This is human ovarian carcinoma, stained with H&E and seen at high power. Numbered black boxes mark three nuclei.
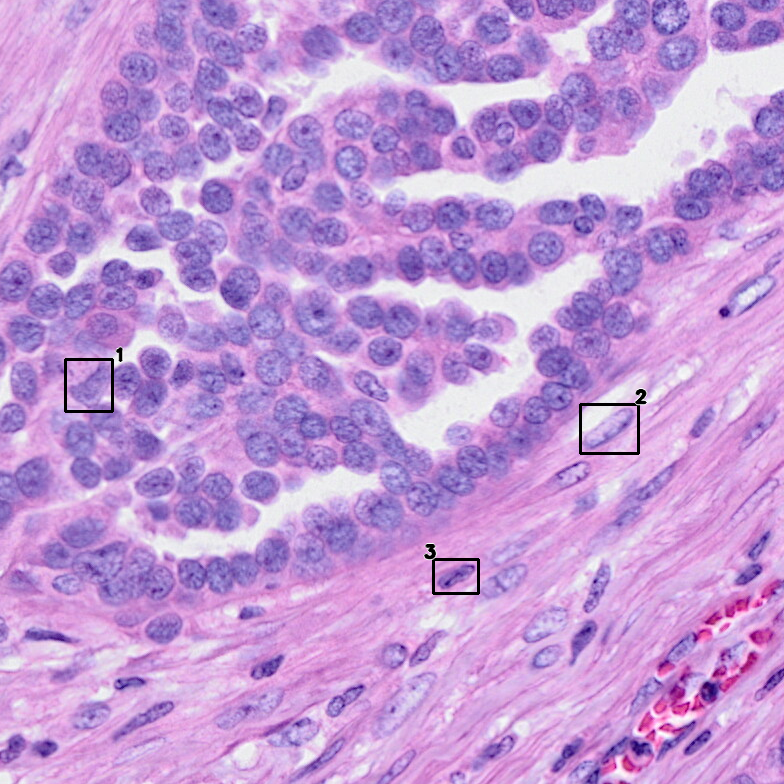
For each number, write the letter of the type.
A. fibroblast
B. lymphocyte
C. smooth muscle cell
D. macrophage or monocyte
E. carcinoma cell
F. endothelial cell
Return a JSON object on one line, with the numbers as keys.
{"1": "E", "2": "A", "3": "D"}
